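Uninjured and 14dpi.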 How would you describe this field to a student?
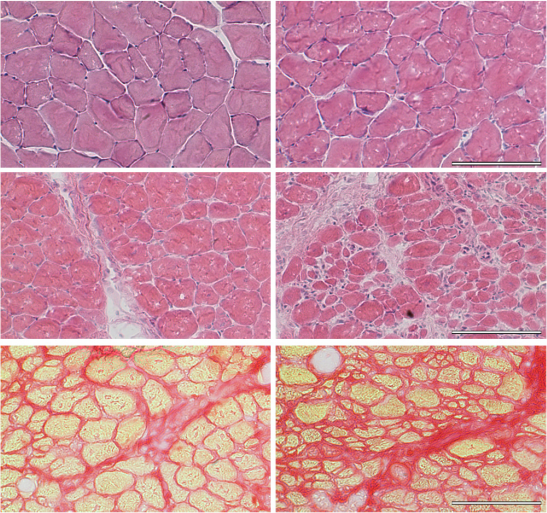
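These are cross-sections of skeletal muscle showing transversely cut myofibers. In the top row the myofibers are polygonal, pink to purplish and closely packed, with small dark nuclei at their periphery. In the middle row the fibers vary widely in size, many are small and rounded, and pale connective tissue with scattered small cells separates groups of fibers, most widely in the right-hand image. In the bottom row the fibers stain pale yellow and are surrounded by red-stained connective tissue, which forms thick red bands between fiber groups. The red connective tissue is more abundant and the fibers smaller in the right-hand bottom image than in the left.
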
